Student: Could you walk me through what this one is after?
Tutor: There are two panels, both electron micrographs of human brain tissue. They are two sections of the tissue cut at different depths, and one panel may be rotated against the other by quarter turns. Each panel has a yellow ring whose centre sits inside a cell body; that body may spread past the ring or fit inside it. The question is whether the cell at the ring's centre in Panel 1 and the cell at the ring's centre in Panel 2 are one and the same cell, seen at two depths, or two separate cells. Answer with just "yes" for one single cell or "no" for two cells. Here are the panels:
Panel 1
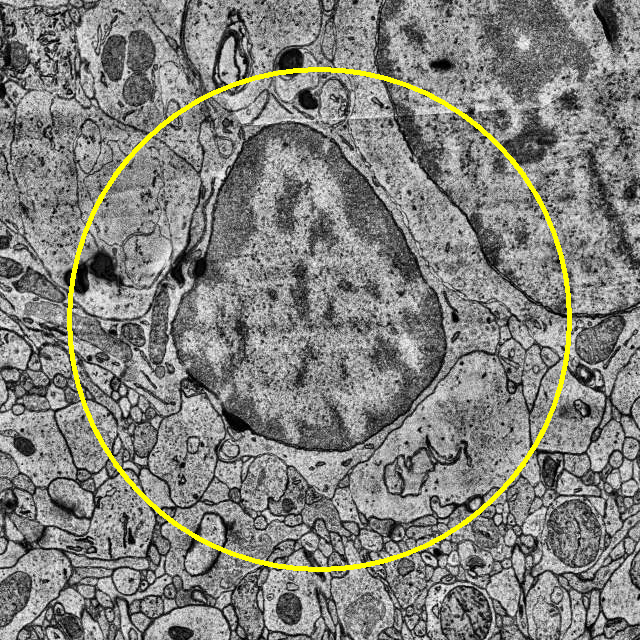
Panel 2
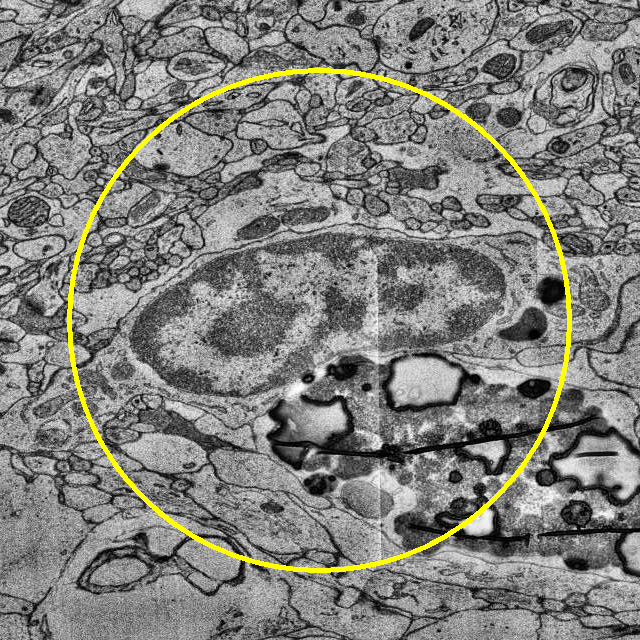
no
